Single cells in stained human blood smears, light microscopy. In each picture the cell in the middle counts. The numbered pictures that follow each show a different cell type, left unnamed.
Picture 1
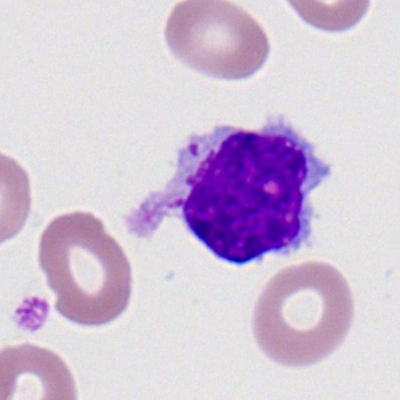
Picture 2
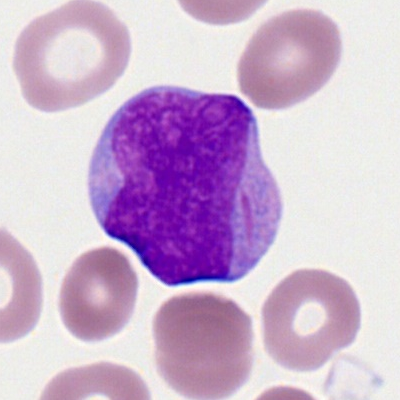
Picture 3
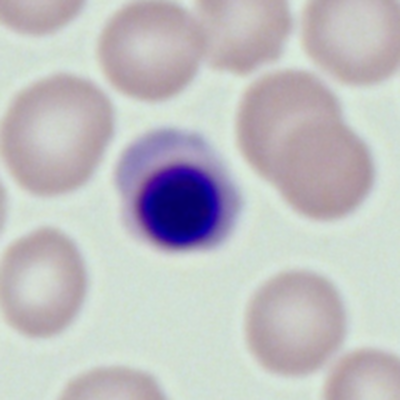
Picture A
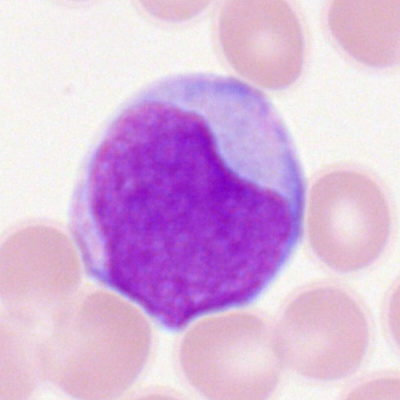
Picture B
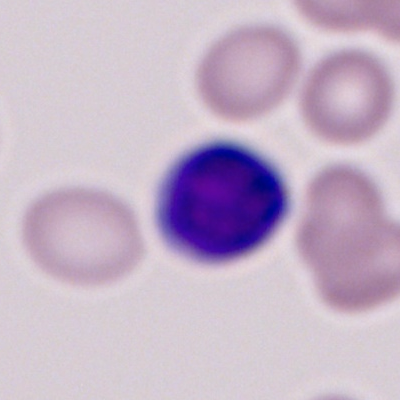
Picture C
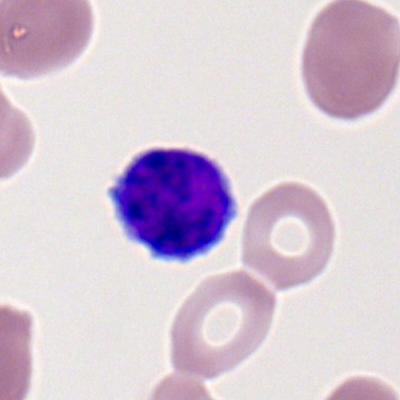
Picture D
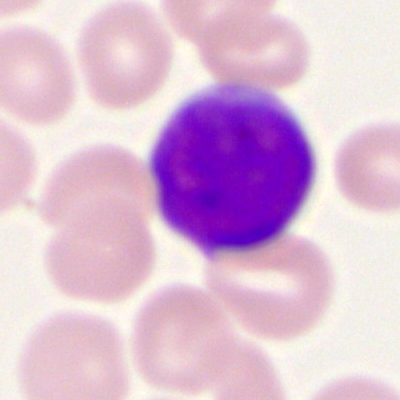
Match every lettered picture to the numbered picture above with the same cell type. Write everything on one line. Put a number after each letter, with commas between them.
A 2, B 1, C 1, D 2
